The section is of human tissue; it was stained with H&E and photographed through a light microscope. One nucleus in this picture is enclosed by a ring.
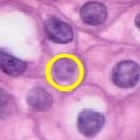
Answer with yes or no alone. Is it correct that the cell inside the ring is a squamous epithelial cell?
yes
